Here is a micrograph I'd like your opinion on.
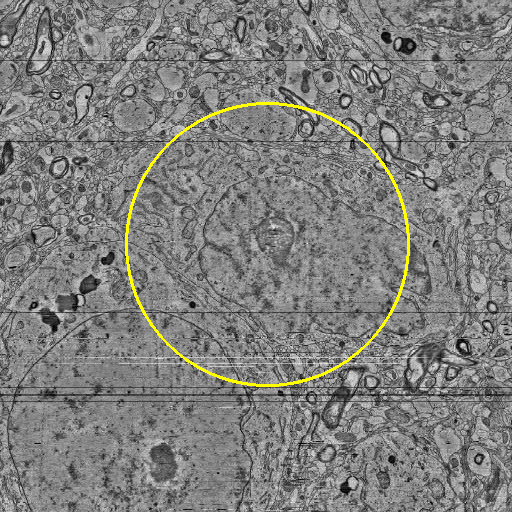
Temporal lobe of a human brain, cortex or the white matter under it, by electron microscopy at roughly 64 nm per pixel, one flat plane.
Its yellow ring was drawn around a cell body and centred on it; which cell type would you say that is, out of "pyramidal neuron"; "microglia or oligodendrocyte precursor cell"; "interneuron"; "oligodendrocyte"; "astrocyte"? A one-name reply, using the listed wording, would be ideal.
interneuron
